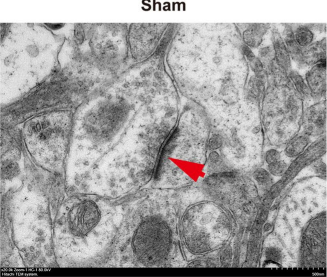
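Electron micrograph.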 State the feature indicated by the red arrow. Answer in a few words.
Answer: Synaptic structures.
